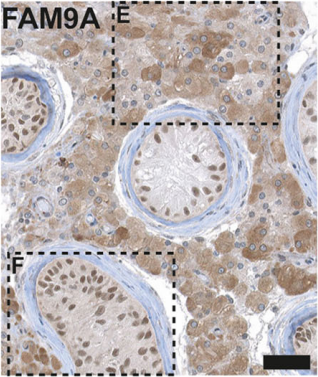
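Testis tissue with tubules containing only Sertoli cells and an interstitium crowded with Leydig cells. The Leydig cells are large polygonal cells in clusters whose cytoplasm is stained brown with varying intensity, some dark and some pale. The tubules have thick blue-stained walls and contain no germ cells, only Sertoli cells with oval brown-stained nuclei.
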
